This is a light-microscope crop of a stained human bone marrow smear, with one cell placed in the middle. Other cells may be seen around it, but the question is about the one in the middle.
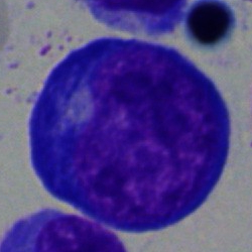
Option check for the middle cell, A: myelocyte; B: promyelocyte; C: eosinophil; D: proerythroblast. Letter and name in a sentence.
The central cell of the crop is a proerythroblast, which makes D the correct option.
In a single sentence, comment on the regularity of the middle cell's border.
You can see a smooth boundary, with no projections sticking out.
